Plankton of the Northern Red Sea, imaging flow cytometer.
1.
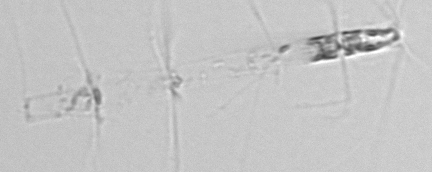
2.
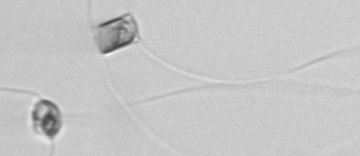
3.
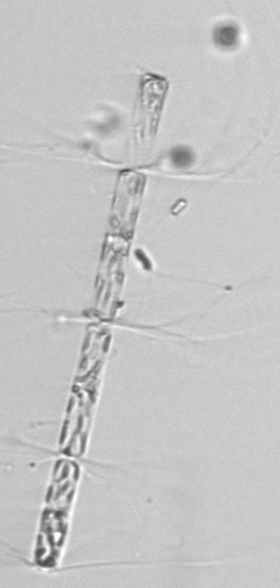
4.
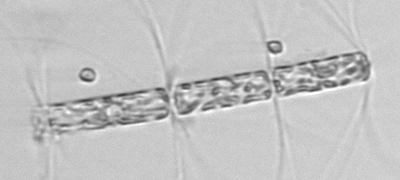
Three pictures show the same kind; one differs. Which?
Picture 2: Chaetoceros, while the others are Bacteriastrum furcatum.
